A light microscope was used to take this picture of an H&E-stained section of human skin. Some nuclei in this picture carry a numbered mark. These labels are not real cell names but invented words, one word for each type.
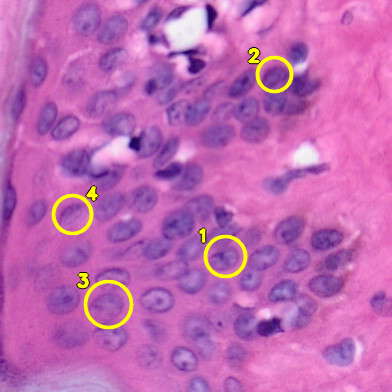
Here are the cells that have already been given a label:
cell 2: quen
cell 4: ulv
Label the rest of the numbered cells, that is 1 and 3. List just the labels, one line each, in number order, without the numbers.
quen
ulv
